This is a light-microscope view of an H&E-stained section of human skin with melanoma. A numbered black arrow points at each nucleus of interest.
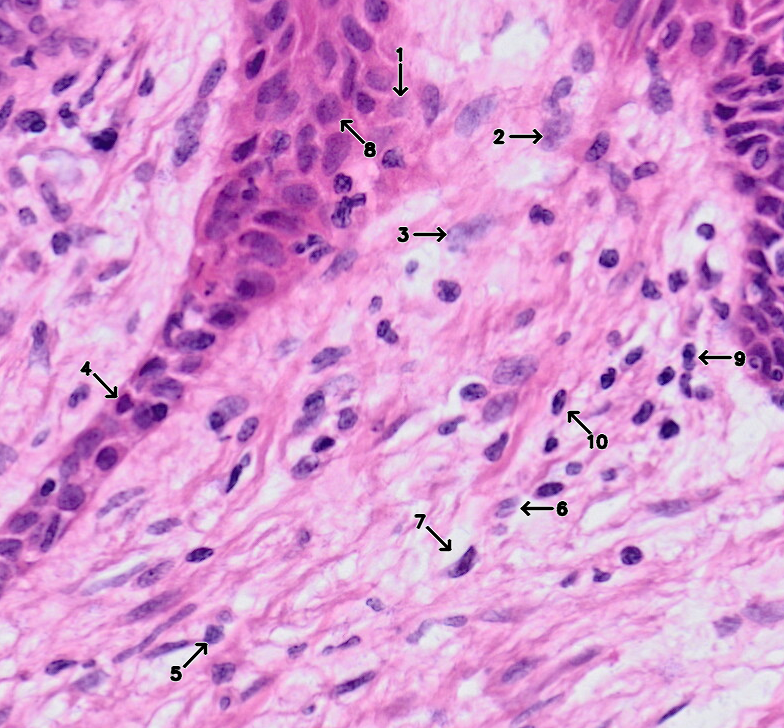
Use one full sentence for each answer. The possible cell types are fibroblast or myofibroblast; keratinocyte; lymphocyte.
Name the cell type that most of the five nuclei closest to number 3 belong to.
Most of the five nuclei nearest to number 3 are those of lymphocytes.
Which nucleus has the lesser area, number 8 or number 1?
It is nucleus 1; nucleus 8 has about 1.5 times its area.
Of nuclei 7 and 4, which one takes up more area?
The larger nucleus is 7, at roughly 2.5 times the area of 4.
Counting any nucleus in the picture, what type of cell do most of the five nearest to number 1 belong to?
The majority of the five nuclei closest to number 1 belong to keratinocytes.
